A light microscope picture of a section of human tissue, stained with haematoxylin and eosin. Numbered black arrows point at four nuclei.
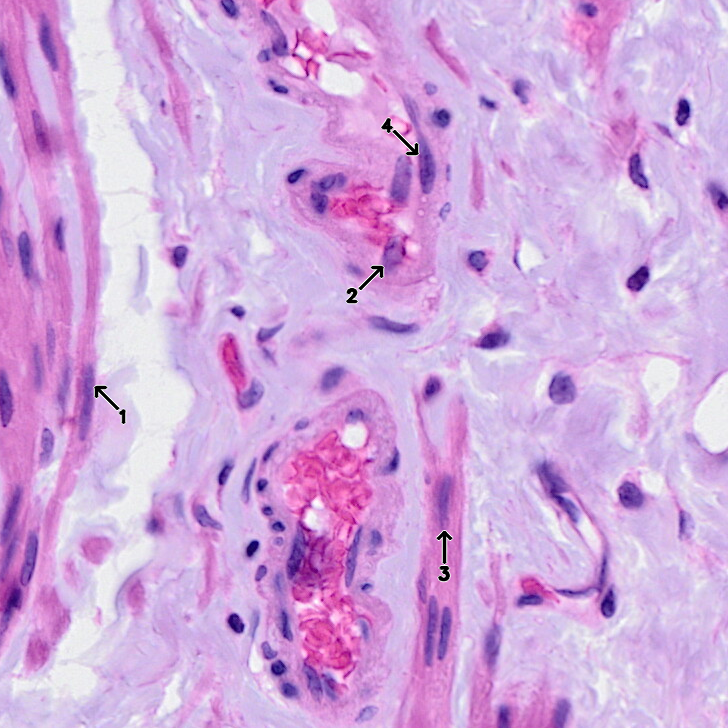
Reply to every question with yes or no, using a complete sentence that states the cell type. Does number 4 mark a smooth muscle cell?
No, cell 4 should be classed as an endothelial cell, not as a smooth muscle cell.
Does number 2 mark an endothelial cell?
Yes, that is right: the cell labelled 2 is an endothelial cell.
